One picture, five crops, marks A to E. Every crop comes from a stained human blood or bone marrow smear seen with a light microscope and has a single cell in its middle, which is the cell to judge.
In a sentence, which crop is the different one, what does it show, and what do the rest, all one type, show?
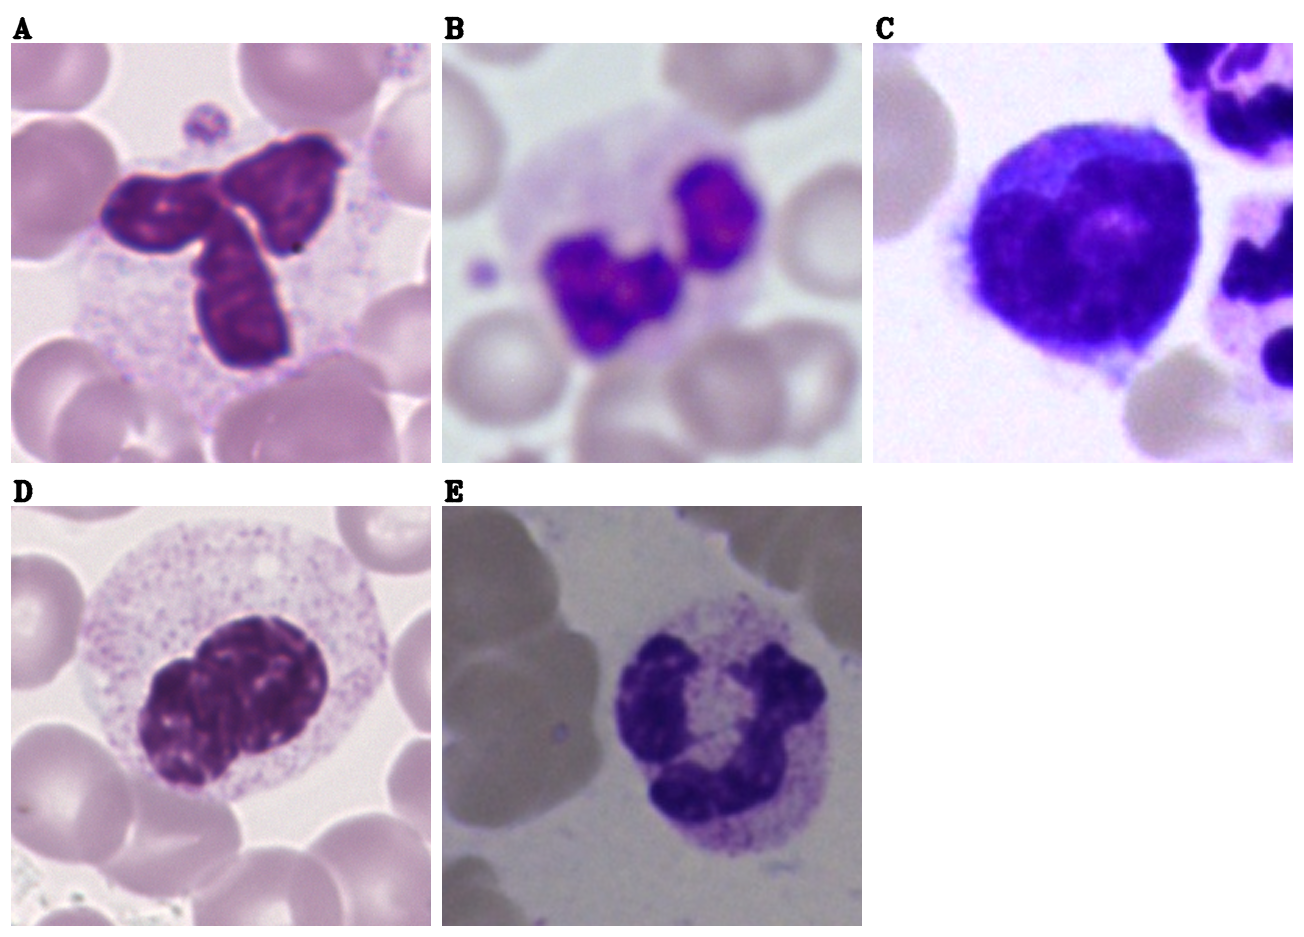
Crop C differs from its companions, showing a monocyte where they show segmented neutrophils.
